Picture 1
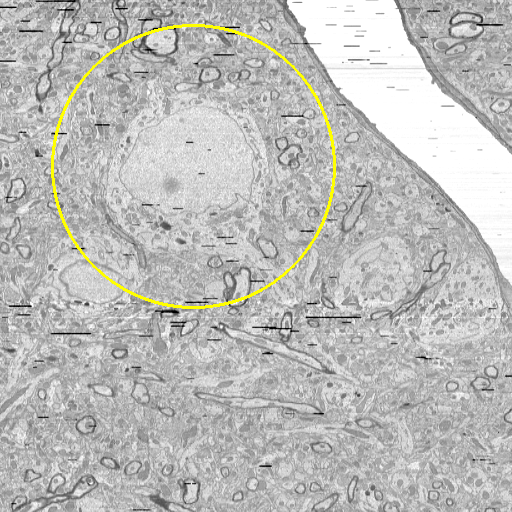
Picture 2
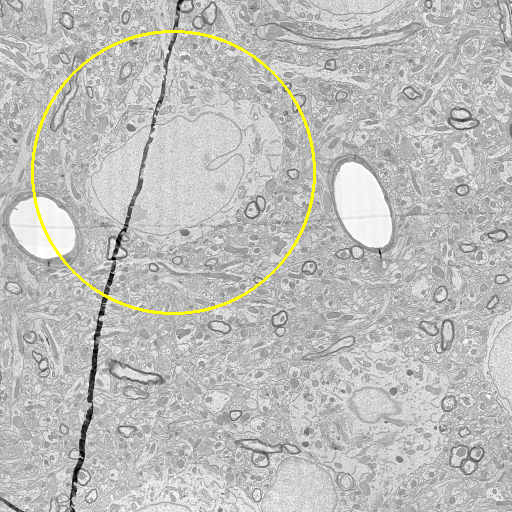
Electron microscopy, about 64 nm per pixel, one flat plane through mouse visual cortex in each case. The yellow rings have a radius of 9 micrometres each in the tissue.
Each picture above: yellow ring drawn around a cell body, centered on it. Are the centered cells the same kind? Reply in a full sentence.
Yes, the two cells are the same kind.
